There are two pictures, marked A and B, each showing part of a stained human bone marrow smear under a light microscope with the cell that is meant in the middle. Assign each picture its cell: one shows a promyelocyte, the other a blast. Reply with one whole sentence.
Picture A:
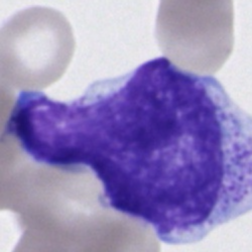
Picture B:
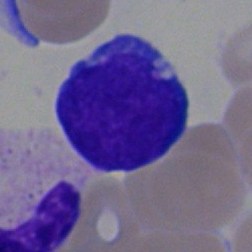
It is picture A that shows a promyelocyte, and picture B that shows a blast.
